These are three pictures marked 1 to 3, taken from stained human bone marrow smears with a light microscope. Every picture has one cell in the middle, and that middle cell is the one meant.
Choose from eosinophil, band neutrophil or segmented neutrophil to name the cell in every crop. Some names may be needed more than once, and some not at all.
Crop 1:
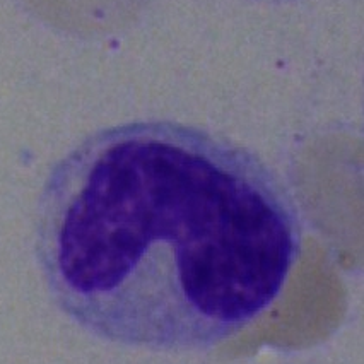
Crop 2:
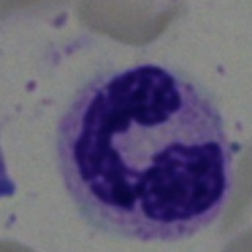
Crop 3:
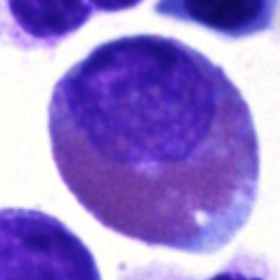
1: band neutrophil
2: segmented neutrophil
3: eosinophil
